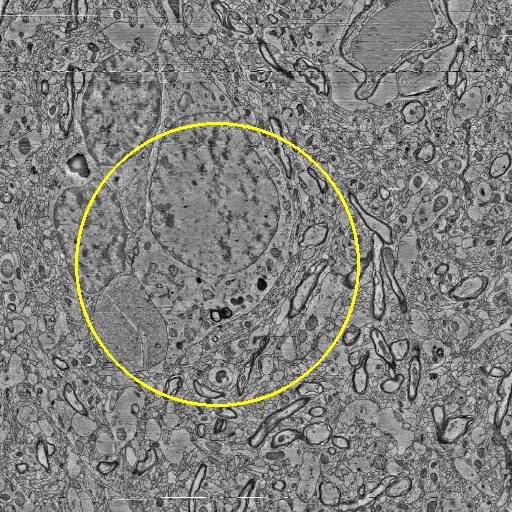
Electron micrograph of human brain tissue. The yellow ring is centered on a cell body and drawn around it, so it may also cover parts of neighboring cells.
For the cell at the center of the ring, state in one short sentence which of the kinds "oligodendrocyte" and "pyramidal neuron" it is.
This ring is centered on a pyramidal neuron.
